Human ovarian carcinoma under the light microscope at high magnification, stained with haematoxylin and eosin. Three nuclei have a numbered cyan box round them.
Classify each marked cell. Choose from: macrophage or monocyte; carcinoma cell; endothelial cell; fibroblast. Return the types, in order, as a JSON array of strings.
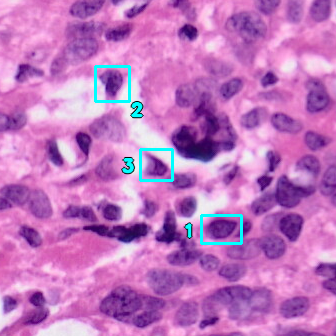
["carcinoma cell", "macrophage or monocyte", "carcinoma cell"]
